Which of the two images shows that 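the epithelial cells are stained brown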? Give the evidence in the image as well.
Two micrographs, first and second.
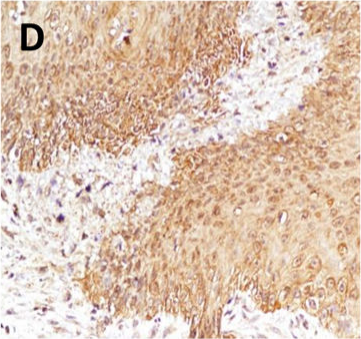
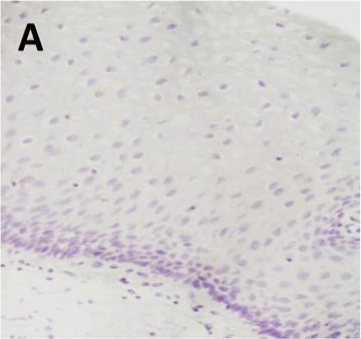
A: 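First image: the epithelium is strongly brown throughout. Second image: the epithelium shows only blue nuclei on a pale background. The answer: the first image.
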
